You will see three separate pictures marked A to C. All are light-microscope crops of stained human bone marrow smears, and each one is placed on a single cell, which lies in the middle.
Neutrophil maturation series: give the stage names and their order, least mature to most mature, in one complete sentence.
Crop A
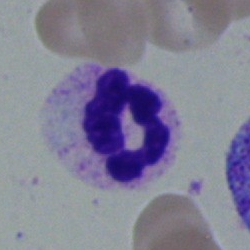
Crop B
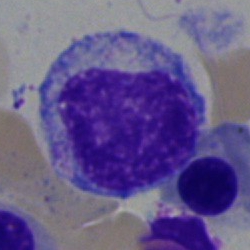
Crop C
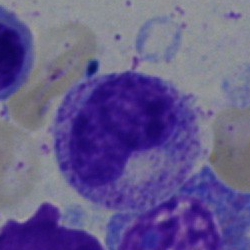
From lowest to highest maturity, the crops run crop B (a myelocyte), crop C (a metamyelocyte) and crop A (a segmented neutrophil).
